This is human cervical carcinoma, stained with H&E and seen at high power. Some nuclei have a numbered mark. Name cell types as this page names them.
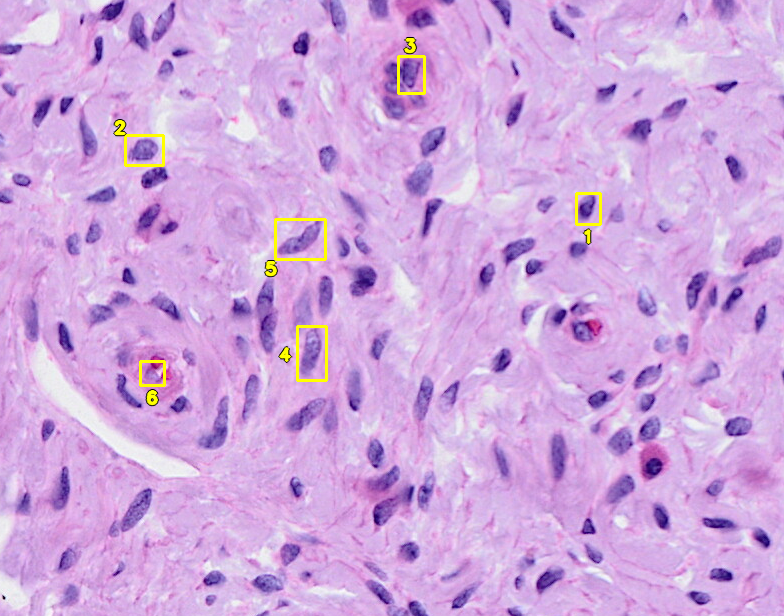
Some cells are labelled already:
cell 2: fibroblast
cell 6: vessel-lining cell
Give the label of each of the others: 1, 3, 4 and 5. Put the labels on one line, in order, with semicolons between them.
fibroblast; vessel-lining cell; fibroblast; fibroblast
